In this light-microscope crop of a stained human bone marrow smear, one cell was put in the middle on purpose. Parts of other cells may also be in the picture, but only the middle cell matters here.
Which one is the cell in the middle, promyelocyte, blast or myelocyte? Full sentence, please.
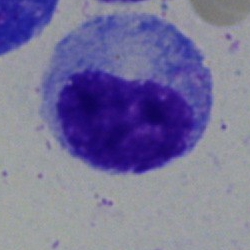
Standing at the centre of this crop is a myelocyte.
